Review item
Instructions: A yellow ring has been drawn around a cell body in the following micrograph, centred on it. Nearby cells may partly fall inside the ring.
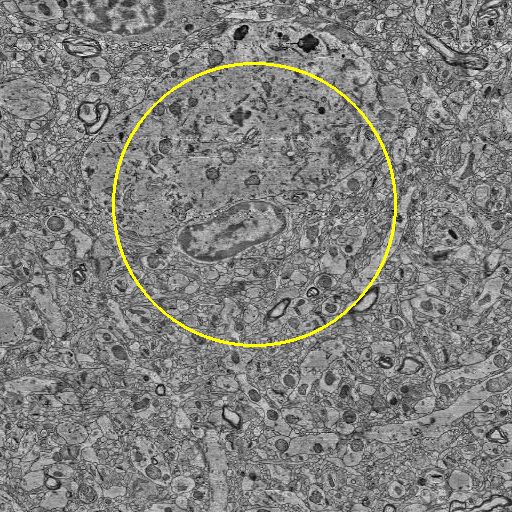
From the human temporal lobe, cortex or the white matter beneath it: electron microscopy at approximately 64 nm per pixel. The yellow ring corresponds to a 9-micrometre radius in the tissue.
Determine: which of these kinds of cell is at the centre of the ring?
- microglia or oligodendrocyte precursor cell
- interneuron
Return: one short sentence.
The cell body in the middle of the ring is that of a microglial cell or oligodendrocyte precursor cell.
